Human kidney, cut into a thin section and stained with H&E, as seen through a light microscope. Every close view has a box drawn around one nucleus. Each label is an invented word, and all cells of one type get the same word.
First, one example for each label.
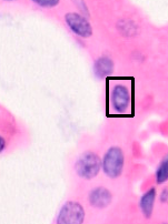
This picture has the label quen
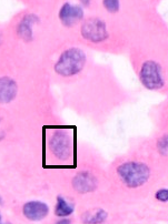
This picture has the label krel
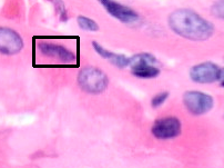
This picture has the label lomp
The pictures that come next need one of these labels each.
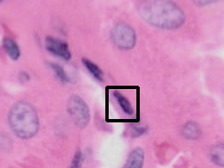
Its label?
quen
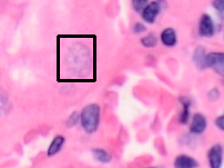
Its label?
lomp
